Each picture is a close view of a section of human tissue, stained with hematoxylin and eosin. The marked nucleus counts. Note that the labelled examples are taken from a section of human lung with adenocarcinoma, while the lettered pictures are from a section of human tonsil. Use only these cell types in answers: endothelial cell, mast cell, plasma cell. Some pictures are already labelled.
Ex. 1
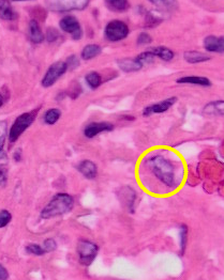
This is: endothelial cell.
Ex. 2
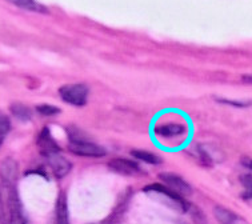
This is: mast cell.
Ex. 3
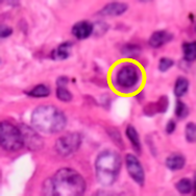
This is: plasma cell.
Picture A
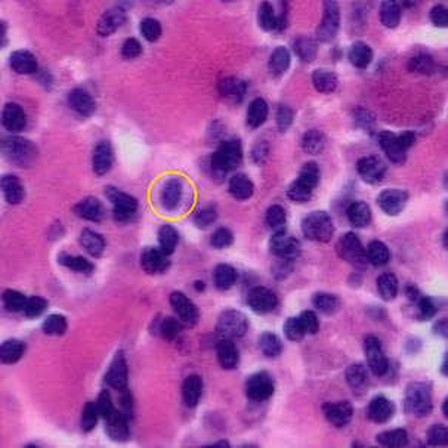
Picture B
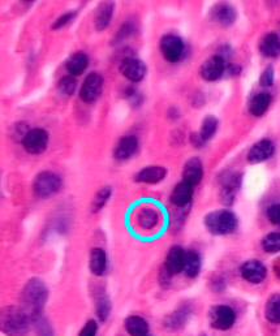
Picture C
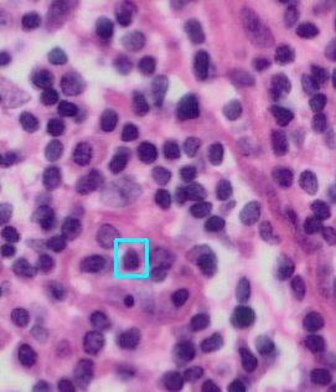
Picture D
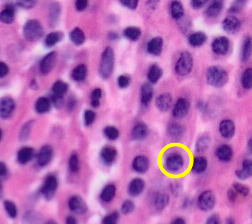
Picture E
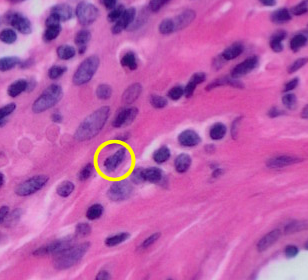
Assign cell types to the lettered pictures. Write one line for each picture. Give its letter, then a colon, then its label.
A: mast cell.
B: mast cell.
C: endothelial cell.
D: plasma cell.
E: mast cell.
